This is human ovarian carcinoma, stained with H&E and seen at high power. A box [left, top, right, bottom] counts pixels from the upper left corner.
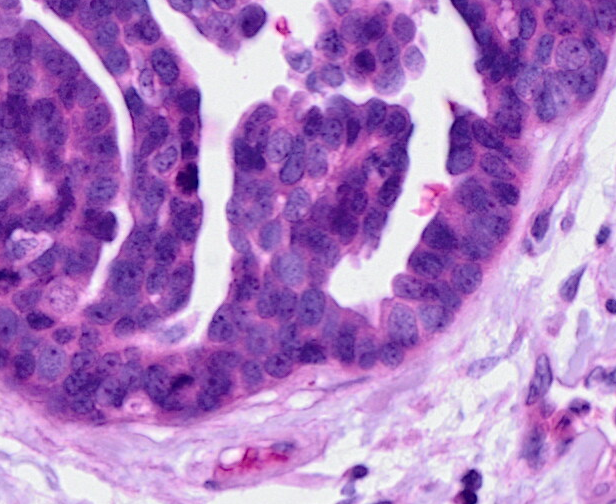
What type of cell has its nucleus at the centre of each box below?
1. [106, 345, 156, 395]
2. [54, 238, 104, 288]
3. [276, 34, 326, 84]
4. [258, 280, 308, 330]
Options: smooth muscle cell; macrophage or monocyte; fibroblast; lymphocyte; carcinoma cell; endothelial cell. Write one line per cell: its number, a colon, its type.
1: carcinoma cell
2: carcinoma cell
3: macrophage or monocyte
4: carcinoma cell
